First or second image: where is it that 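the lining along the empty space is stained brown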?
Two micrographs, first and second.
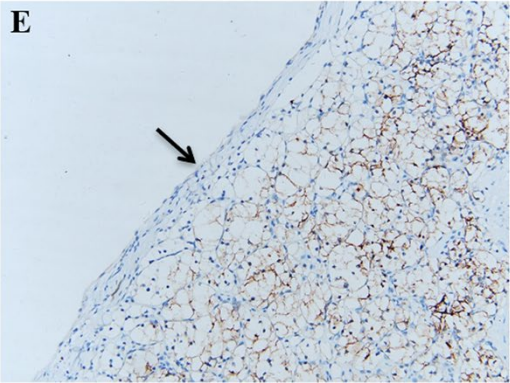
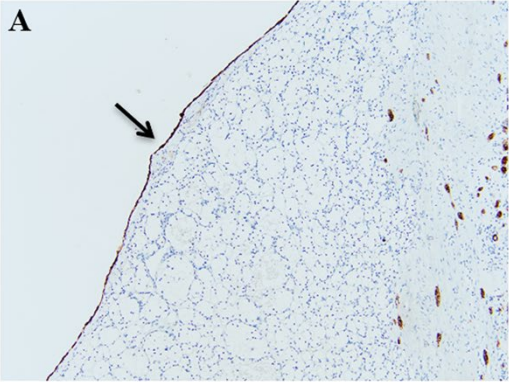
The second image.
